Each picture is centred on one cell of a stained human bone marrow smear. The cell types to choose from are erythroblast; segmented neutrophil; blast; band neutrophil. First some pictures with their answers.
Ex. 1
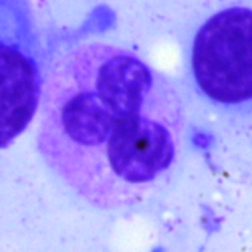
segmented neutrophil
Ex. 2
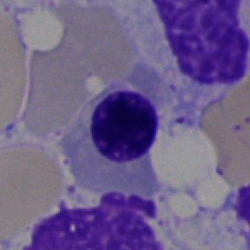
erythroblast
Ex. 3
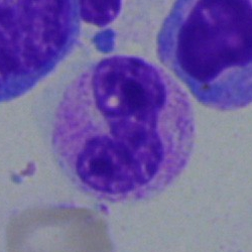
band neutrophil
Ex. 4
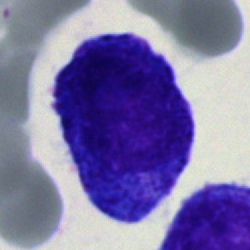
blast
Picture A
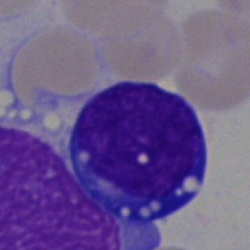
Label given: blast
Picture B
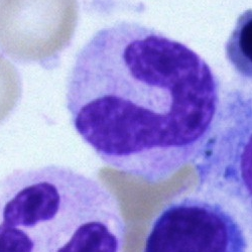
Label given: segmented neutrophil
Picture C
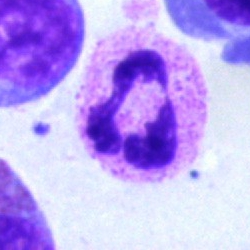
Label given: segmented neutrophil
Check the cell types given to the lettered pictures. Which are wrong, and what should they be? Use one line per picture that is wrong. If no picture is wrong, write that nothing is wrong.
B: change segmented neutrophil to band neutrophil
